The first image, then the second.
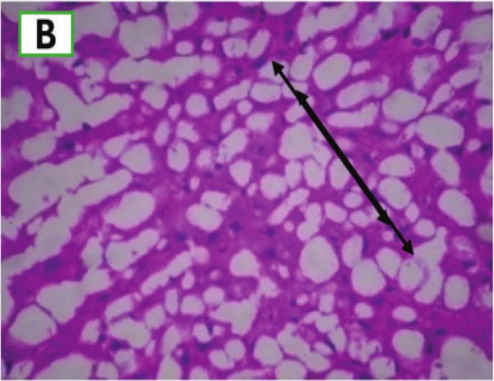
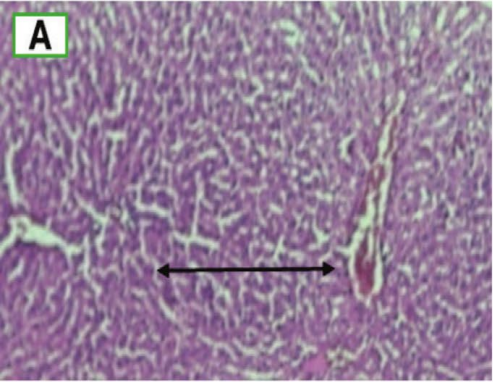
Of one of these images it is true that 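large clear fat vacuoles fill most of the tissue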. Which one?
The first image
